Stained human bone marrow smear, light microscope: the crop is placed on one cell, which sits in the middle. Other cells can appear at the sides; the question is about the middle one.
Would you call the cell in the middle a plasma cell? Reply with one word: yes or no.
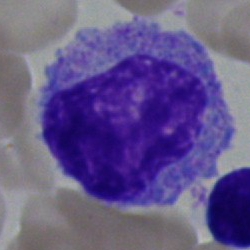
no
